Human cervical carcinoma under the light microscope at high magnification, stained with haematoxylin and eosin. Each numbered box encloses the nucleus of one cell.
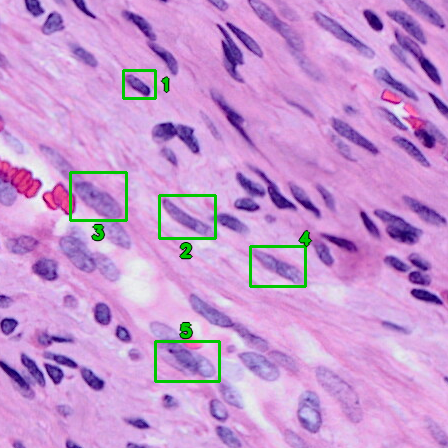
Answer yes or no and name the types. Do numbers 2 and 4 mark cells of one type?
Yes, it is as smooth muscle cells that cells 2 and 4 are both classified.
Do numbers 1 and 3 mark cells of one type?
No, in this section cell 1 is a fibroblast and cell 3 is an endothelial cell.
